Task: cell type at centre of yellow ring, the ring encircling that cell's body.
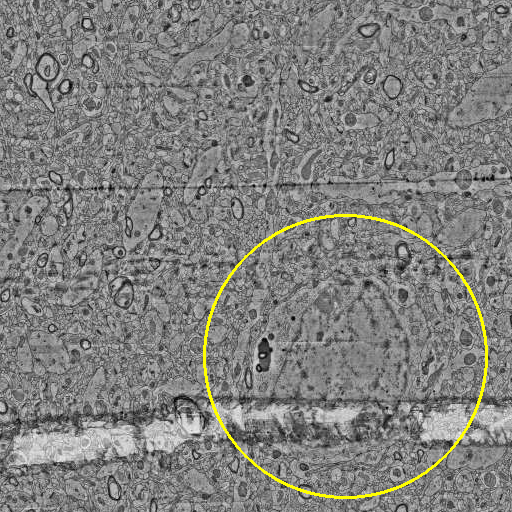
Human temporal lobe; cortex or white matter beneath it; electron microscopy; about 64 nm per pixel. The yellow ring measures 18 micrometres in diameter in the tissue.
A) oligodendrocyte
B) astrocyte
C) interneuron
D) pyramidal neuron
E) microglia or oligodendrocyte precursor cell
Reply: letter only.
C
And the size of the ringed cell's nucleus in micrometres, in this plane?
The nucleus measures about 11 by 8 micrometres in this plane.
